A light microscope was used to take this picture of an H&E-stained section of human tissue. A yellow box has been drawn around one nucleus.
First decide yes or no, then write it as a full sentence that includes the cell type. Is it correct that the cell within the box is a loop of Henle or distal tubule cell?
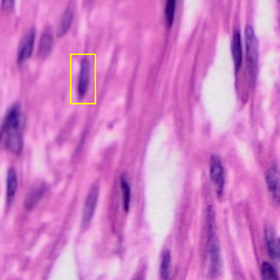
No, sorry, but the cell within the box is a fibroblast and not a loop of Henle or distal tubule cell.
